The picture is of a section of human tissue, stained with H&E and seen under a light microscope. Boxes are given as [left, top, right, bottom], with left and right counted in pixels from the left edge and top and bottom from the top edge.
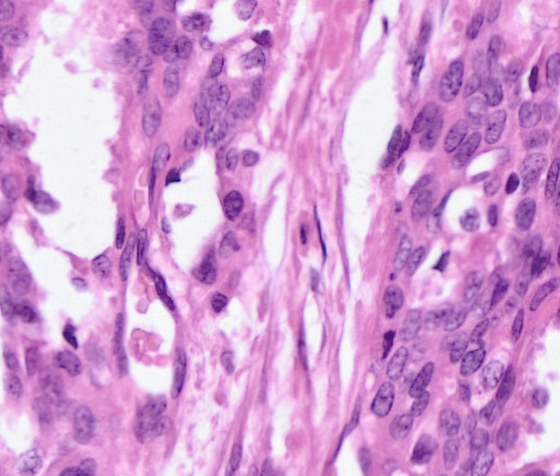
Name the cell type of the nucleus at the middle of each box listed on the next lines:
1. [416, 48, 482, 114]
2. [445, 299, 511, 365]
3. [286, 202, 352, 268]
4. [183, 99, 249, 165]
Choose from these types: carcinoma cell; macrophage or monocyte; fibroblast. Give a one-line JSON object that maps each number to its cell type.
{"1": "carcinoma cell", "2": "carcinoma cell", "3": "fibroblast", "4": "carcinoma cell"}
